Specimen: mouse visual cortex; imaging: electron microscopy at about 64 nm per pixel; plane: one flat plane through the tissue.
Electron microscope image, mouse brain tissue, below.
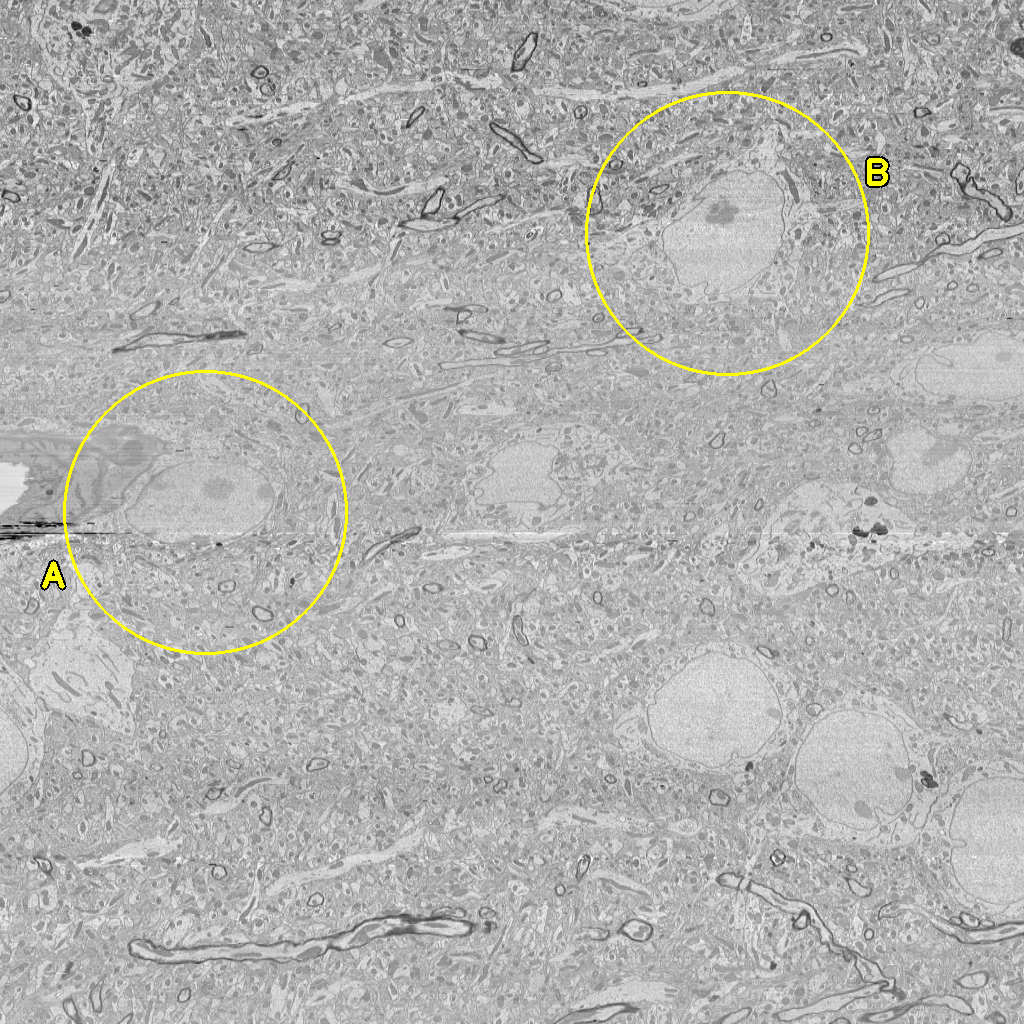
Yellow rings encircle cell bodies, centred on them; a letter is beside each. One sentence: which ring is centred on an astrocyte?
It is ring A.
